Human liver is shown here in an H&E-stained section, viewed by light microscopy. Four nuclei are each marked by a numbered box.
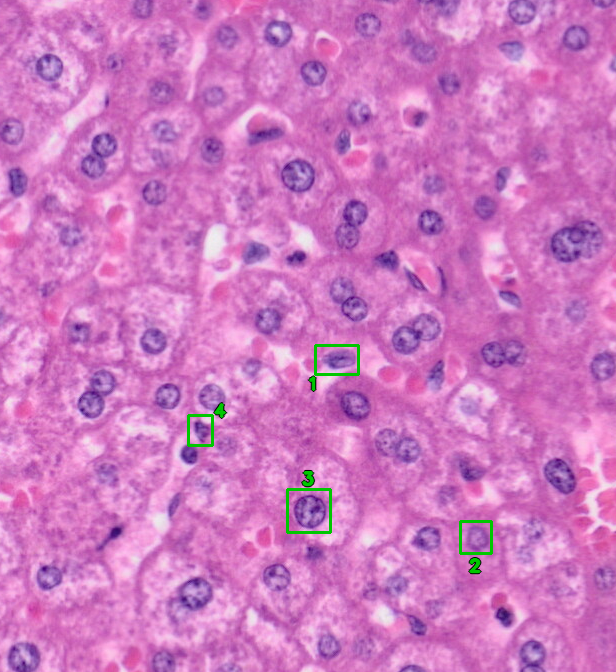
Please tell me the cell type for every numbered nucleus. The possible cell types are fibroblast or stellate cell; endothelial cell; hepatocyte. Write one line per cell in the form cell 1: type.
cell 1: endothelial cell
cell 2: hepatocyte
cell 3: hepatocyte
cell 4: fibroblast or stellate cell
